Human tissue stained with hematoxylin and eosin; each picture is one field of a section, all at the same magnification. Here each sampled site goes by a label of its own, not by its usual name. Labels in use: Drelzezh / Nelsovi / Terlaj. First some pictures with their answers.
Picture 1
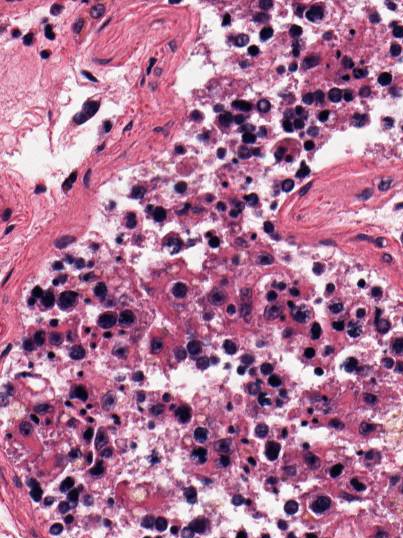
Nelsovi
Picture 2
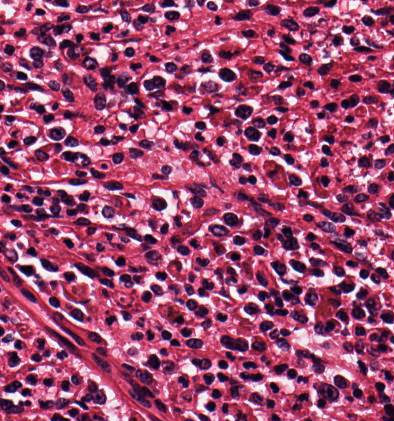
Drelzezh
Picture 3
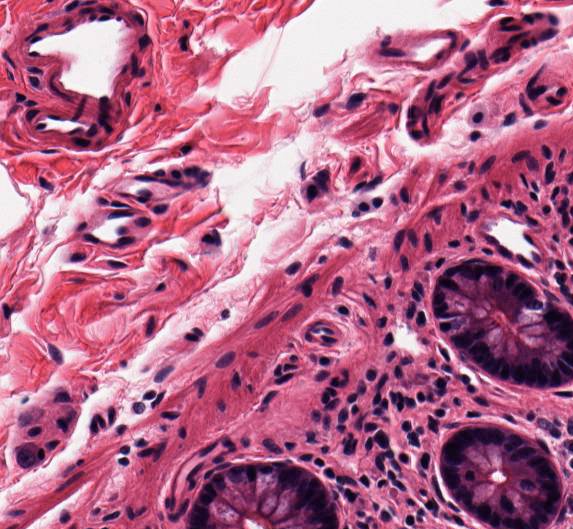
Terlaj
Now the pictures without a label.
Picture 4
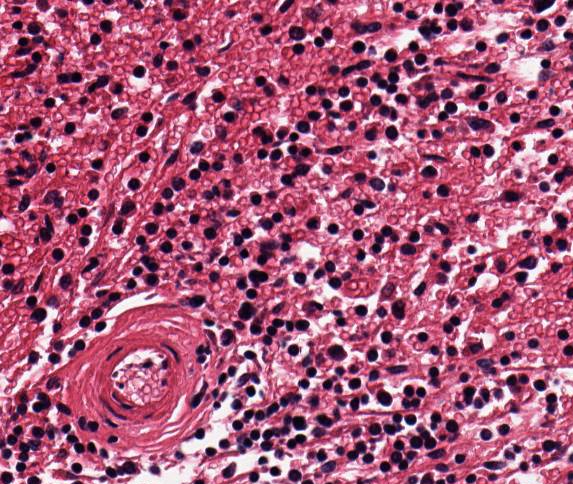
Drelzezh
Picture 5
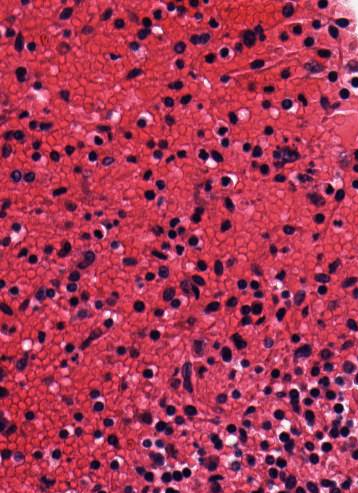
Drelzezh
